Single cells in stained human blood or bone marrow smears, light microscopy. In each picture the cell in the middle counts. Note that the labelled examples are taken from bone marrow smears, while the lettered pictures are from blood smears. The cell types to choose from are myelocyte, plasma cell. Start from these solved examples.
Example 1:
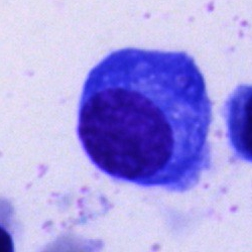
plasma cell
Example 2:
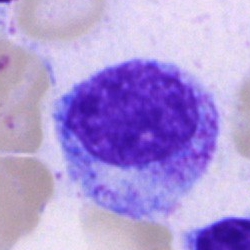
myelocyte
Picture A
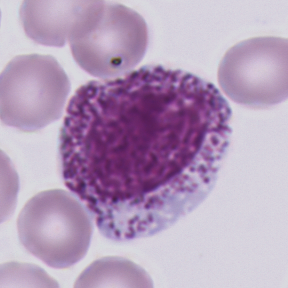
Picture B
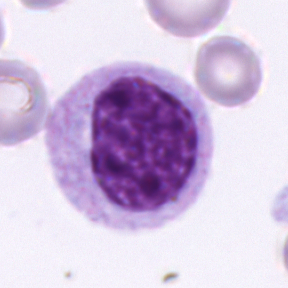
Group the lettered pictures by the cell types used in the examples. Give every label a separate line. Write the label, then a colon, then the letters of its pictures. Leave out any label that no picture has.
myelocyte: A, B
